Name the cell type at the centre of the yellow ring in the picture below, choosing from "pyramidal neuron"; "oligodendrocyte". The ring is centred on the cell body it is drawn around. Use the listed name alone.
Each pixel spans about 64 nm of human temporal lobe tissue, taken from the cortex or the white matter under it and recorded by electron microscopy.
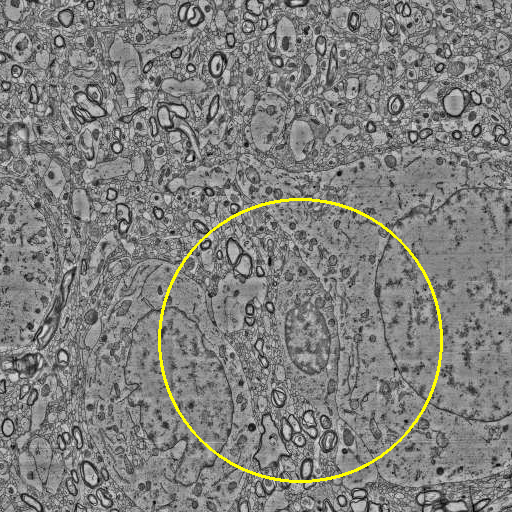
oligodendrocyte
